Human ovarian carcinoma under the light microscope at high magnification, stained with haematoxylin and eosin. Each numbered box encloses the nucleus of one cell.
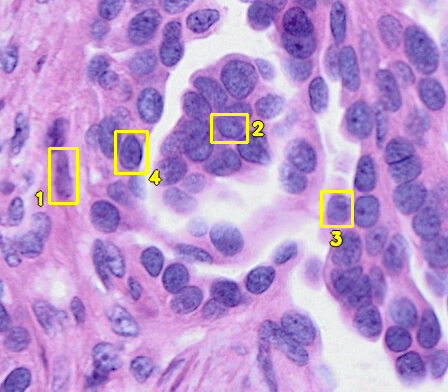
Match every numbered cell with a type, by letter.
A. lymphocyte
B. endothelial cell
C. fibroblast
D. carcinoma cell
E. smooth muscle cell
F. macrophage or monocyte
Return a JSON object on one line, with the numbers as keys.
{"1": "C", "2": "D", "3": "D", "4": "D"}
